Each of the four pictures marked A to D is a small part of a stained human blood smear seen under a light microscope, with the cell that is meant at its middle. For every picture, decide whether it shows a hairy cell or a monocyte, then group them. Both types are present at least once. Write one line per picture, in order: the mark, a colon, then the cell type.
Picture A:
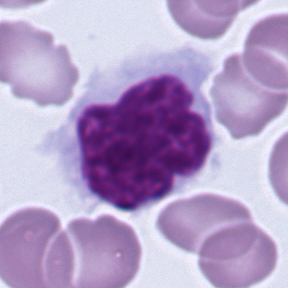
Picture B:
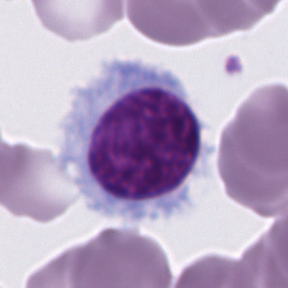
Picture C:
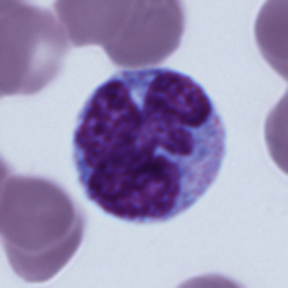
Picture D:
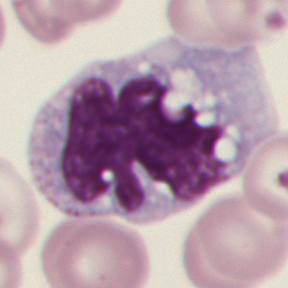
A: hairy cell
B: hairy cell
C: monocyte
D: monocyte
